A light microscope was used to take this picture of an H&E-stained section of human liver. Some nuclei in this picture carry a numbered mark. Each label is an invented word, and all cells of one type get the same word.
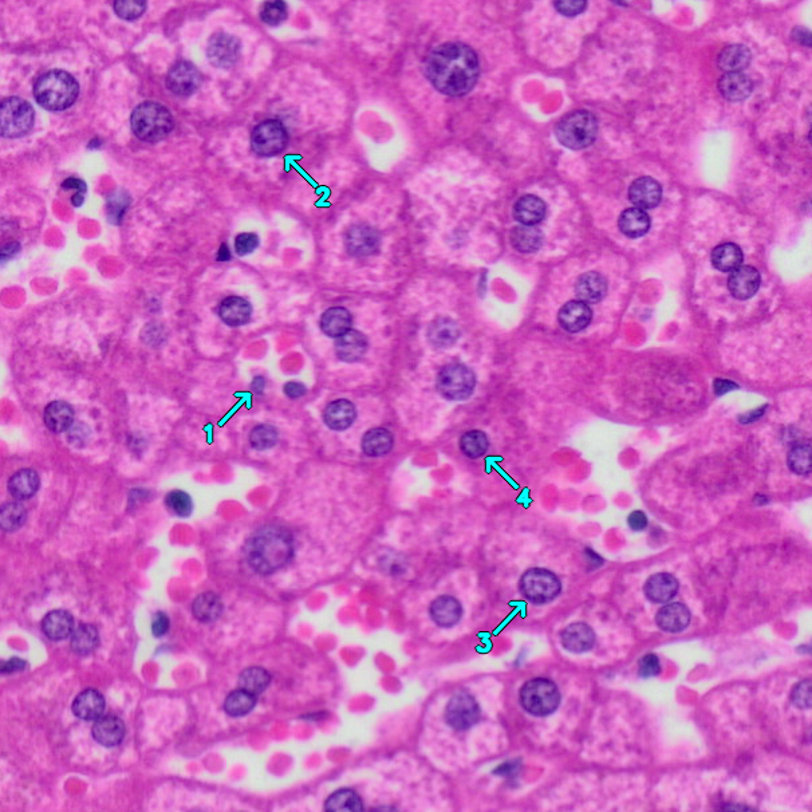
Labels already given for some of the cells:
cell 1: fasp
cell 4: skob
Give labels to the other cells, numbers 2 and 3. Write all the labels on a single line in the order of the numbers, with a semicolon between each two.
skob; skob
